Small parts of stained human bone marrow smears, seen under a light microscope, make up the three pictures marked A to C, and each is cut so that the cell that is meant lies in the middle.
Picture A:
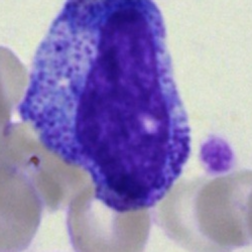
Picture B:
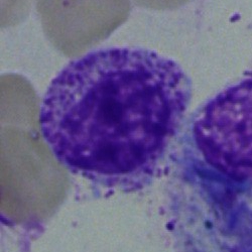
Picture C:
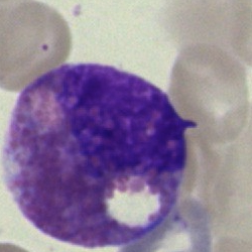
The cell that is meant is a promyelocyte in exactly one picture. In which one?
A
